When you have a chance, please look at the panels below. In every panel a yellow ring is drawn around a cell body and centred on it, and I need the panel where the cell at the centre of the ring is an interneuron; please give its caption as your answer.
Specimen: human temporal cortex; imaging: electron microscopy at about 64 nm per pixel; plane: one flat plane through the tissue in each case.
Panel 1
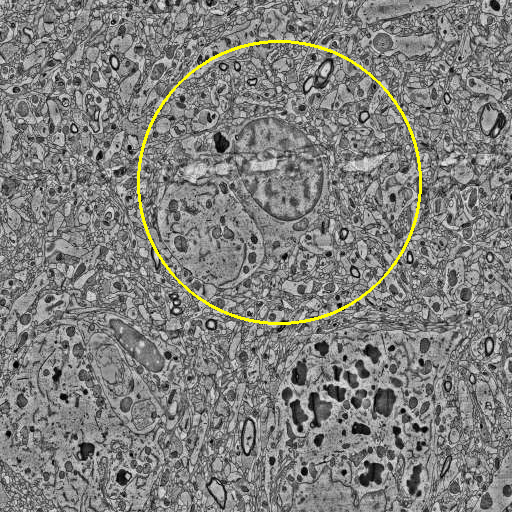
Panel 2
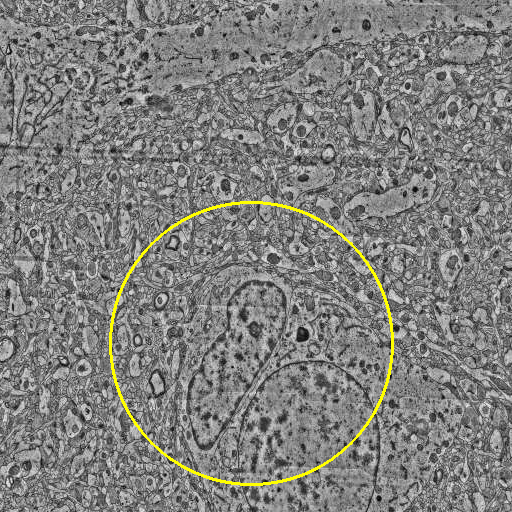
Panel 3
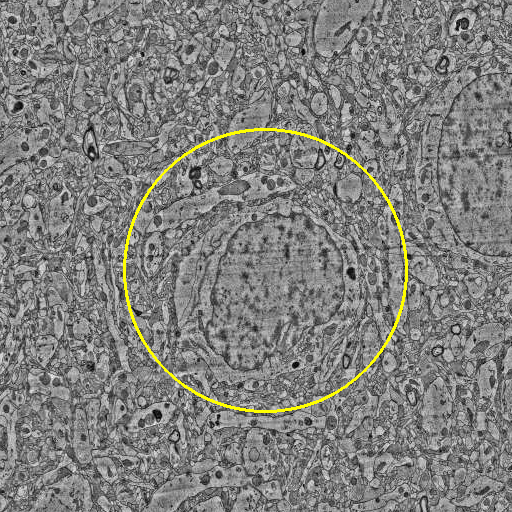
Panel 3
